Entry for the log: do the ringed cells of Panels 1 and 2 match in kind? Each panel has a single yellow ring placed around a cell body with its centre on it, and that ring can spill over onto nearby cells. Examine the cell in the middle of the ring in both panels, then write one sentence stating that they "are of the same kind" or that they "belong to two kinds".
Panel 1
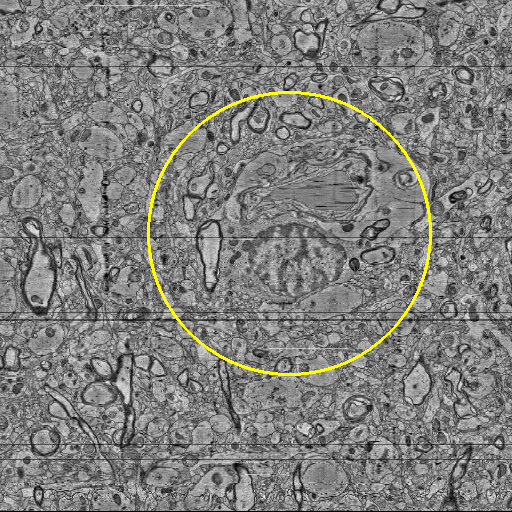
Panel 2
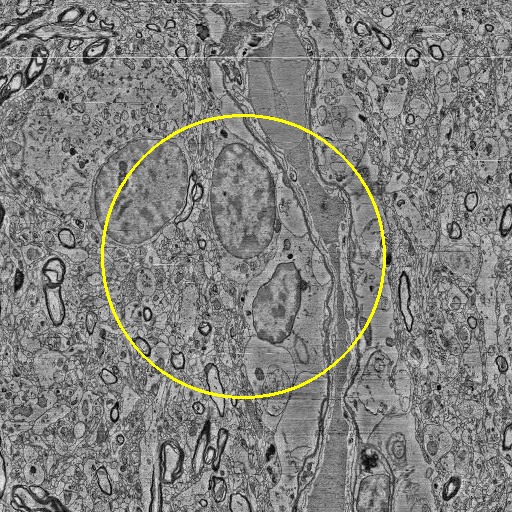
The centre cell of Panel 1's ring and that of Panel 2's ring are of the same kind.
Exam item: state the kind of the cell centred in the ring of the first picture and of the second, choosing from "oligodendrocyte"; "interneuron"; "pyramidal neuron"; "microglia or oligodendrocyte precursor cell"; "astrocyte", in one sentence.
Each cell at the centre of a ring is an oligodendrocyte.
